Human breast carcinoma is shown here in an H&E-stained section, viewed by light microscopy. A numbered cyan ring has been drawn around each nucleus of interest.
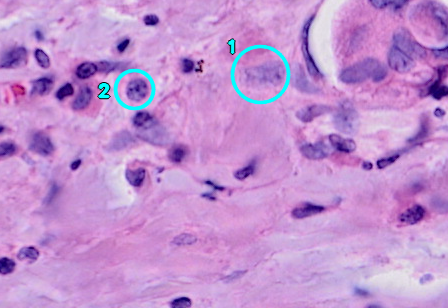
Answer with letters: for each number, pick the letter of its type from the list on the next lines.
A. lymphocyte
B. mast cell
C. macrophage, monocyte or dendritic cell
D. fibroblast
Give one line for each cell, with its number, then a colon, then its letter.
1: D
2: B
